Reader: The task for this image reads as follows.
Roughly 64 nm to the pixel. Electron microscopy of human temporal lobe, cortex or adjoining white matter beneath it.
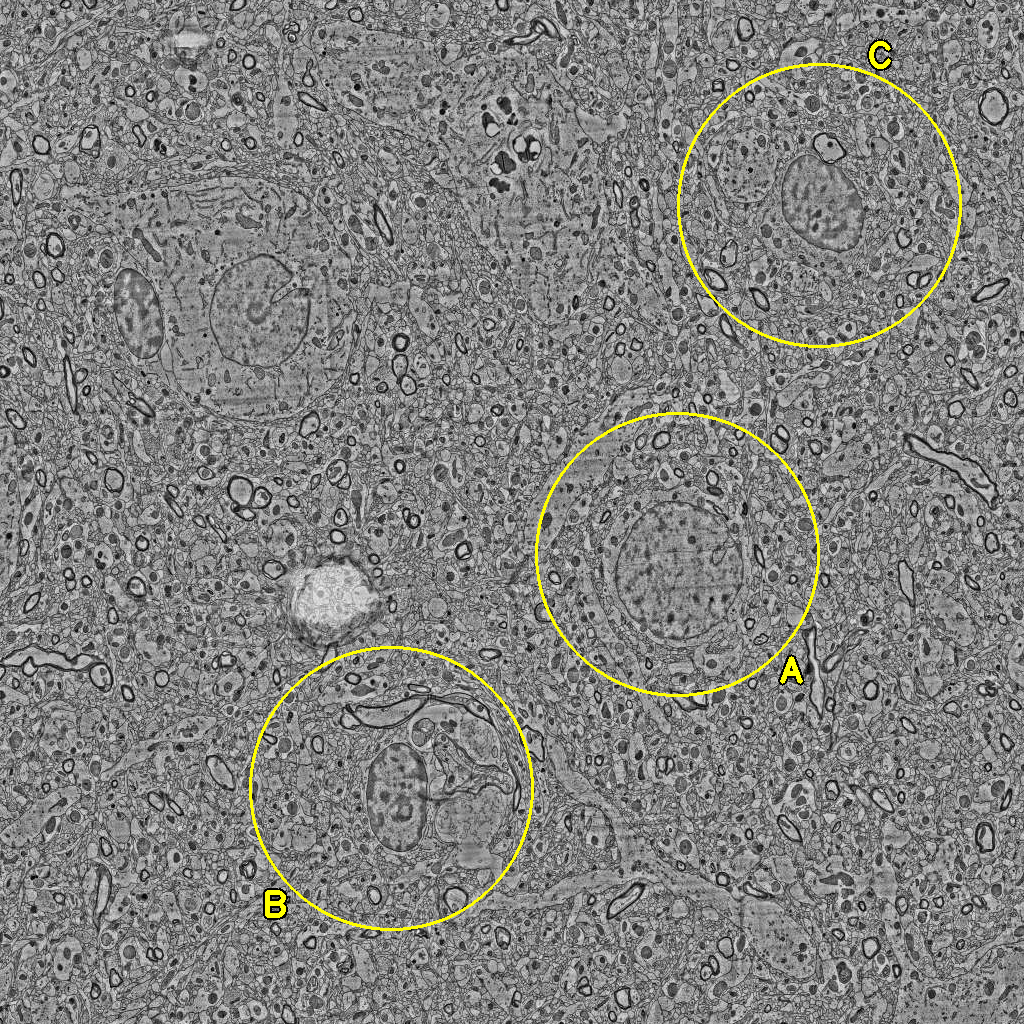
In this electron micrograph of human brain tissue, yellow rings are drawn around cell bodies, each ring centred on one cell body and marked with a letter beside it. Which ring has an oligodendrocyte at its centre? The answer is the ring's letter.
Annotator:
C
